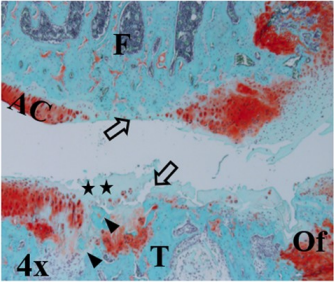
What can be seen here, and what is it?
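This knee joint section shows badly damaged articular cartilage on the femoral condyle above and the tibial plateau below. Much of the joint surface lacks the red-orange cartilage layer and is instead pale green tissue with few cells. Red-stained cartilage survives only in patches, some of them deep beneath the surface next to irregular bone. The boundary between cartilage and underlying bone is uneven, with trabeculae of green bone reaching into the red zones. At the right edge, red-stained cartilaginous tissue bulges outward from the joint margin.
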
